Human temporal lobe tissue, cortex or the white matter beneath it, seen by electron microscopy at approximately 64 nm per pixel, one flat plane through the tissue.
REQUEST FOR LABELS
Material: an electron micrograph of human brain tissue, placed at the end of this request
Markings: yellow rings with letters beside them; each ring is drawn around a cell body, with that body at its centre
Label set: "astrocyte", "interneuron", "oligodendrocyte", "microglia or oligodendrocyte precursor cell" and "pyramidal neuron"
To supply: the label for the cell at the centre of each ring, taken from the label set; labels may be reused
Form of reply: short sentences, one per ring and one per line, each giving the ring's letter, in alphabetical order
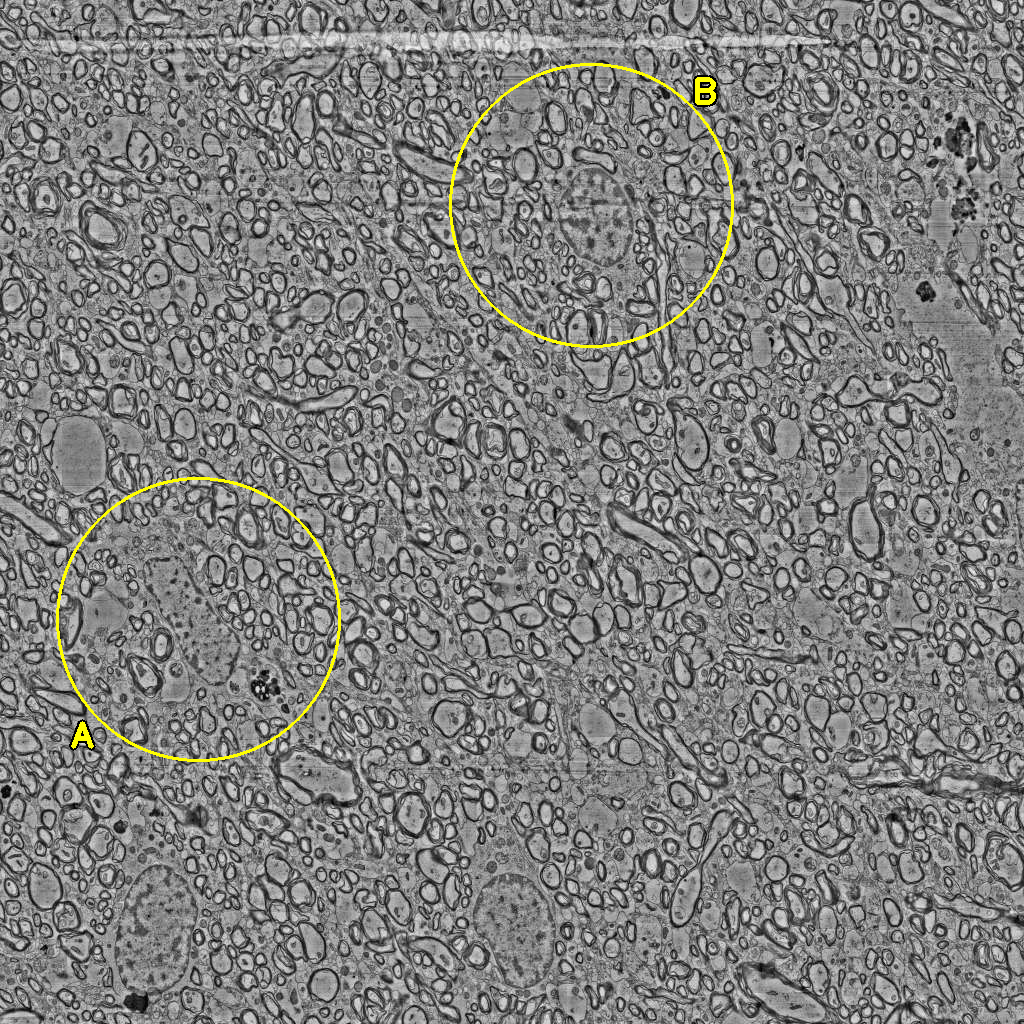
Ring A: the cell in the middle is an astrocyte.
Ring B: the cell in the middle is an oligodendrocyte.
